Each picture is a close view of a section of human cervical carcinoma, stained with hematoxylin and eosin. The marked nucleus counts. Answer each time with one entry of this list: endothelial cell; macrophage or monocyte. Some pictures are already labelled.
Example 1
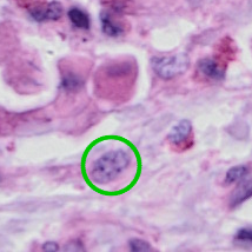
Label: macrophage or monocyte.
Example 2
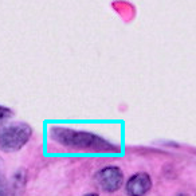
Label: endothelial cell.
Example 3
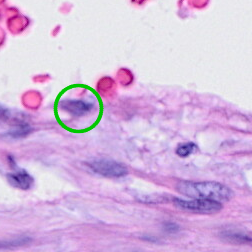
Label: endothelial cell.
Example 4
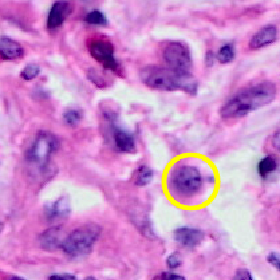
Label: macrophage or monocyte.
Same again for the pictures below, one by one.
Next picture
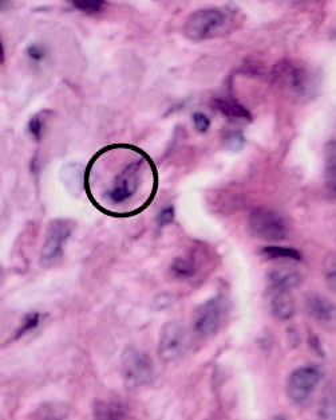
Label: macrophage or monocyte.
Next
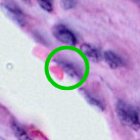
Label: endothelial cell.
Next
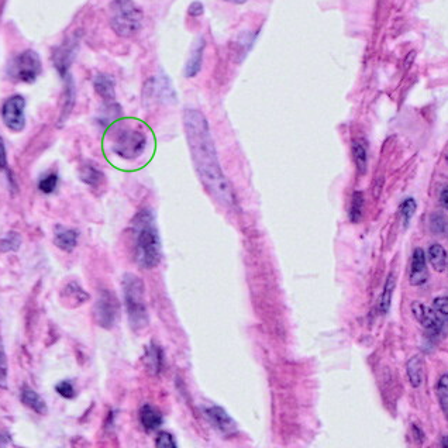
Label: macrophage or monocyte.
